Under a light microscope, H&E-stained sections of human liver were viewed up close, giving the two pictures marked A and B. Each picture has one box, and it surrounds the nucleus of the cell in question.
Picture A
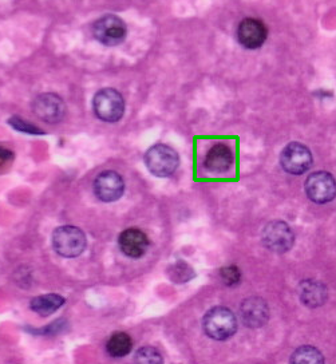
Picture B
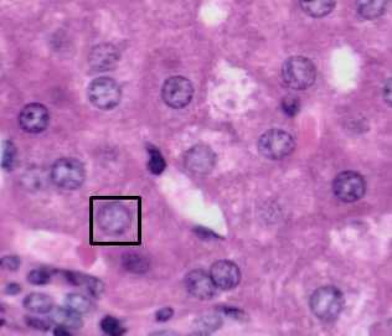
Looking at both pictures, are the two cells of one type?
yes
